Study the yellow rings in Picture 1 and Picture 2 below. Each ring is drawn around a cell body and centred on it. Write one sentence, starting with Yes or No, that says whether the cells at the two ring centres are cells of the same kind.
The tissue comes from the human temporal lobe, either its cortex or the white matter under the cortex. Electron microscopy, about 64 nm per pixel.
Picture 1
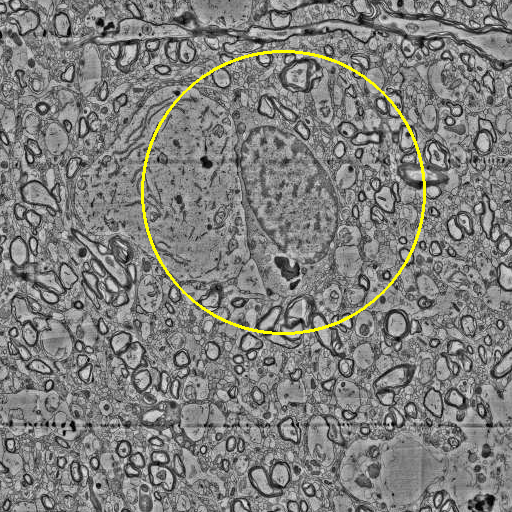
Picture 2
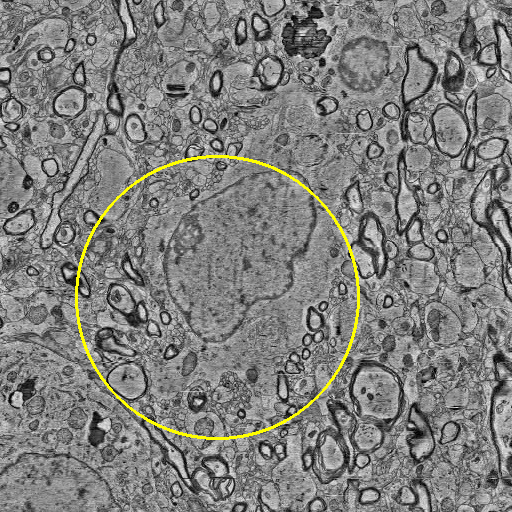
No, the cells at the ring centres are of two kinds.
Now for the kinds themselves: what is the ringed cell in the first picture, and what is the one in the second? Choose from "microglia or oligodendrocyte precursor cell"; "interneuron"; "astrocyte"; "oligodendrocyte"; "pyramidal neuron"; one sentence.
Here the first cell is an oligodendrocyte and the second cell is an astrocyte.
